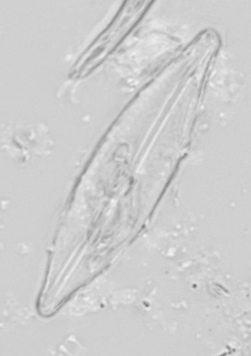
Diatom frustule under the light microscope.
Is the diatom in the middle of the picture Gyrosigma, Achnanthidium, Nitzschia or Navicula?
It is Navicula.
